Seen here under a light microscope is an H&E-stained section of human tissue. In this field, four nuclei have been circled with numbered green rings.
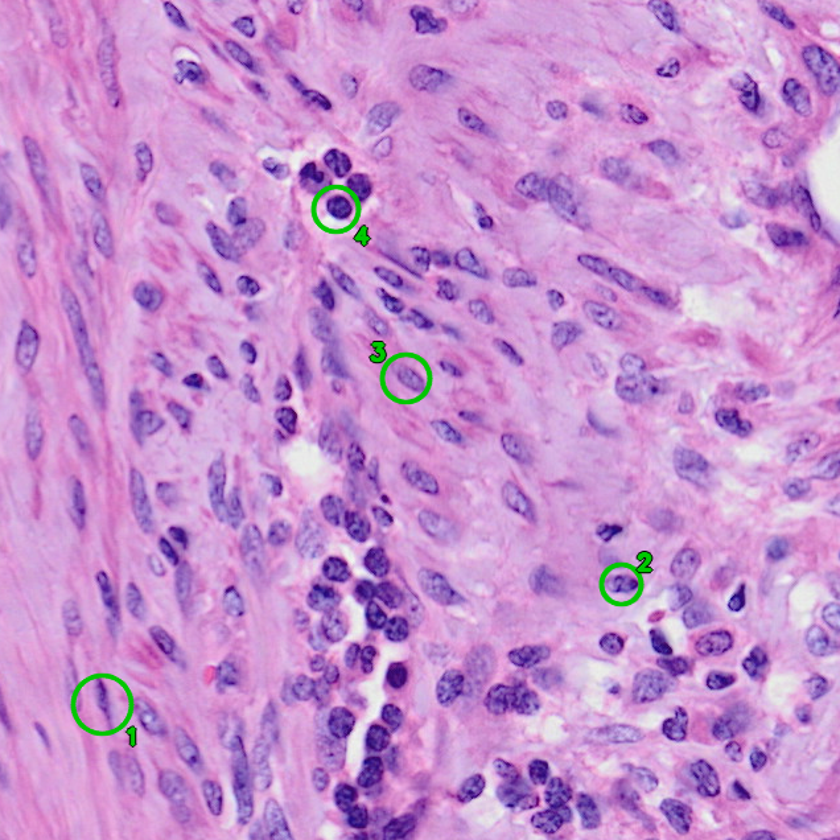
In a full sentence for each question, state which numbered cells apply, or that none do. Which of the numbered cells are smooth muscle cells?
Marked by the numbers 1 and 3 are cells that are smooth muscle cells.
